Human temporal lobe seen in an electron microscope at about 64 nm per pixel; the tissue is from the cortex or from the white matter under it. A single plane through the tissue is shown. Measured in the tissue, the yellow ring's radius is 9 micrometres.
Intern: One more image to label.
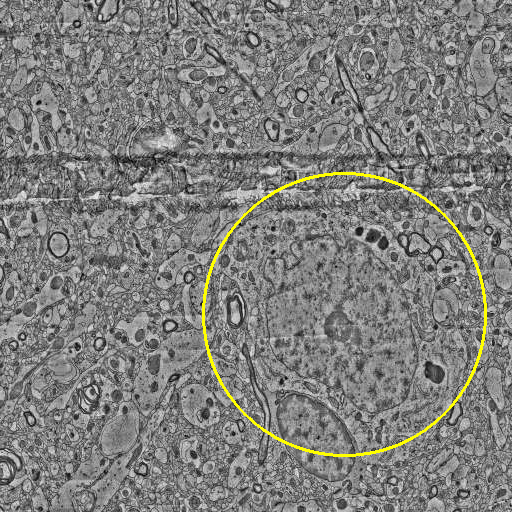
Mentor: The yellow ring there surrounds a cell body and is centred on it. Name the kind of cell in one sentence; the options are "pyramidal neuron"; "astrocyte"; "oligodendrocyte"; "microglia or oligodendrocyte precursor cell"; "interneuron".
The ring marks the cell body of an interneuron.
